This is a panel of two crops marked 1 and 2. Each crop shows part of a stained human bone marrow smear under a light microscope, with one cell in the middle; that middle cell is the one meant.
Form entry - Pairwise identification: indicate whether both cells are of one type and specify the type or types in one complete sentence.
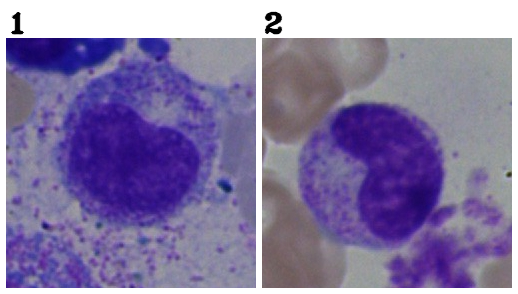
Yes, metamyelocytes occupy the centre of both crops.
